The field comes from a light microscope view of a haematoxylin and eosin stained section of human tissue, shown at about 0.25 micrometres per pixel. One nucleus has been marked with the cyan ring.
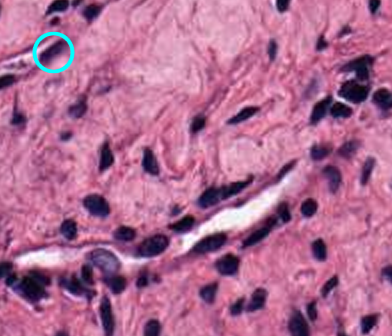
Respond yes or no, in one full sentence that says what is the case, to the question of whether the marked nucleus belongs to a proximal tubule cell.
No, for the marked nucleus, the owning cell is a supporting cell, not a proximal tubule cell.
